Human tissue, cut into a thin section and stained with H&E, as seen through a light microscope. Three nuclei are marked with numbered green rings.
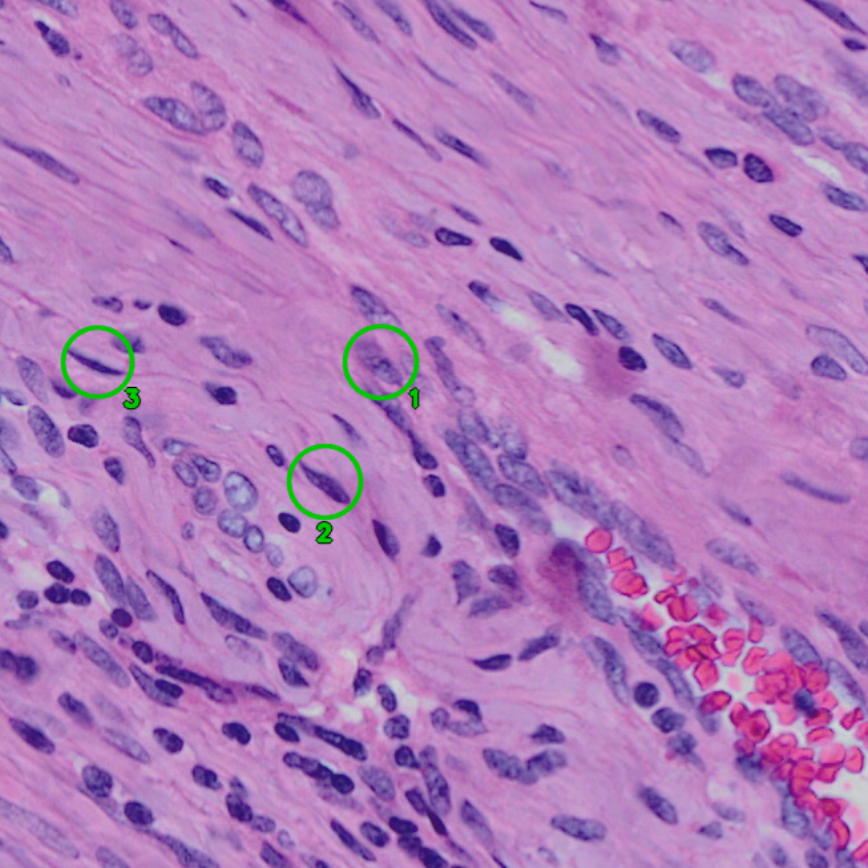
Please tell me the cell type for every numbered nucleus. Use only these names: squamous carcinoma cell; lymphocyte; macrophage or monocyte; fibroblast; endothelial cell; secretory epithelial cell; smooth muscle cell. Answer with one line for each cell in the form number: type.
1: smooth muscle cell
2: fibroblast
3: fibroblast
